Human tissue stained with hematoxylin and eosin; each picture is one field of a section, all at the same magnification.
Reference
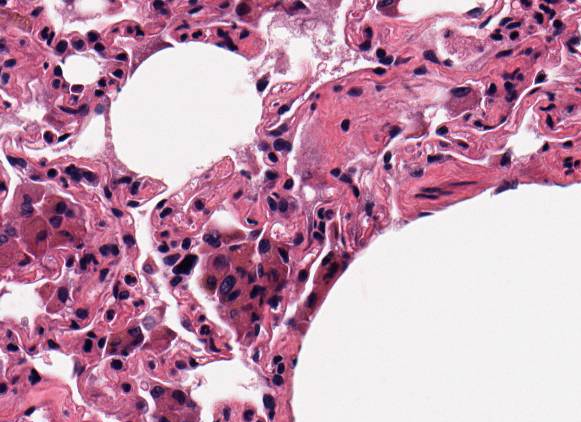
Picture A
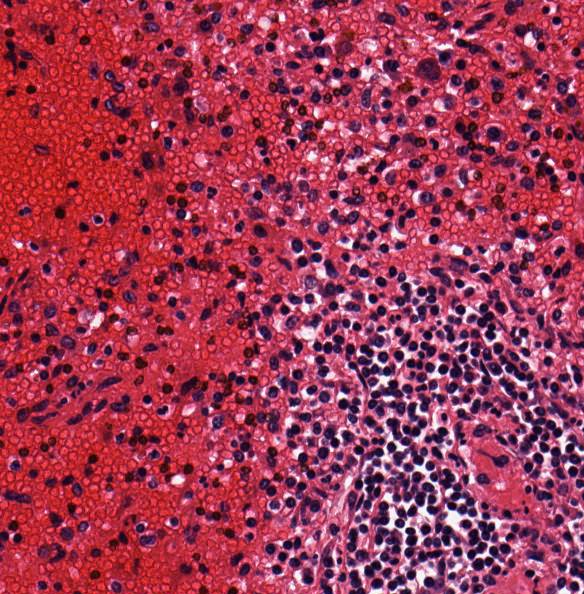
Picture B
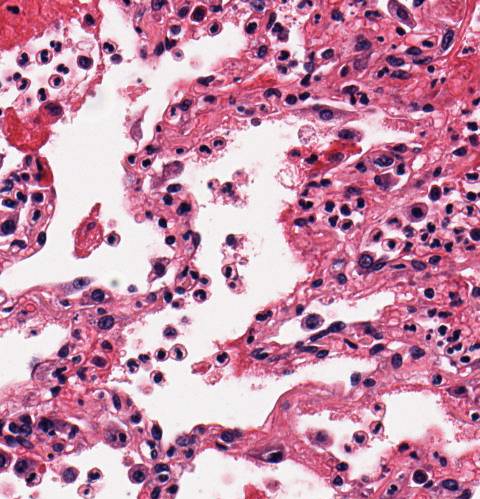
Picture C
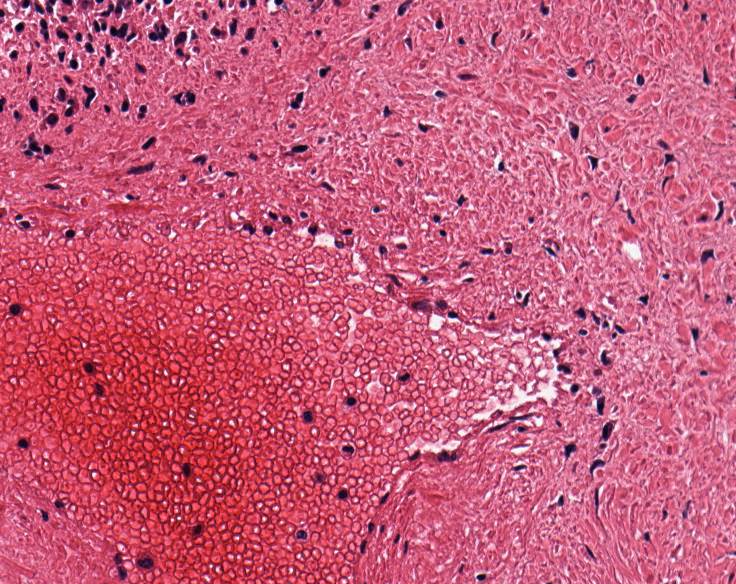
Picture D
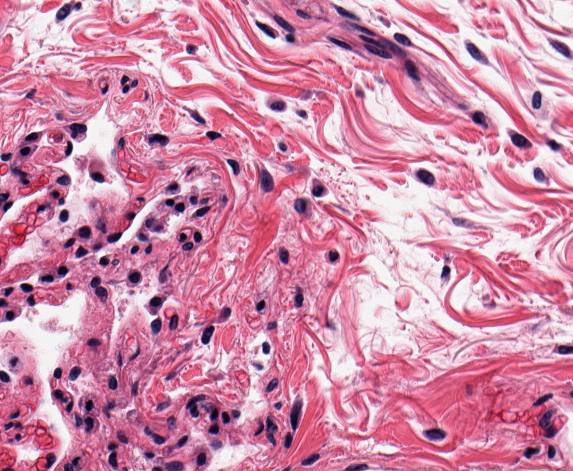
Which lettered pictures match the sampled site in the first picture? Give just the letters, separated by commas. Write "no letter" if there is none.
B, D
